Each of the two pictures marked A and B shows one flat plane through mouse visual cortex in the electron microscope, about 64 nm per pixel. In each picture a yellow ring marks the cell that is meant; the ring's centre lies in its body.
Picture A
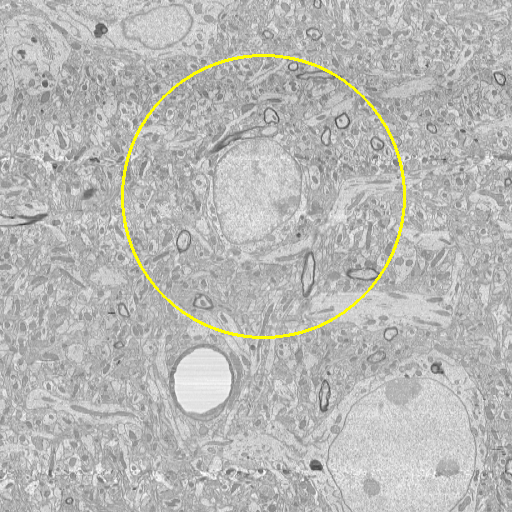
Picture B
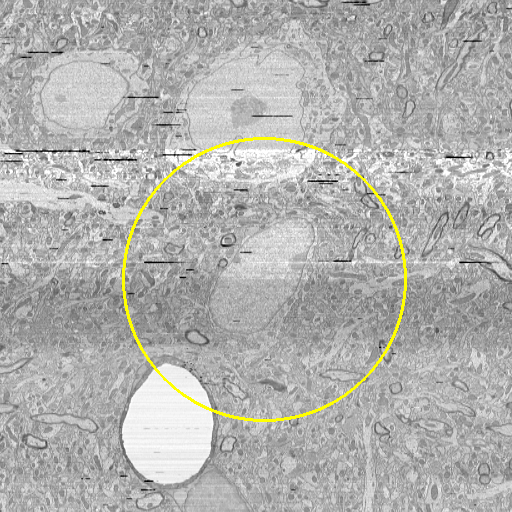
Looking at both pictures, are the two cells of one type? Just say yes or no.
yes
